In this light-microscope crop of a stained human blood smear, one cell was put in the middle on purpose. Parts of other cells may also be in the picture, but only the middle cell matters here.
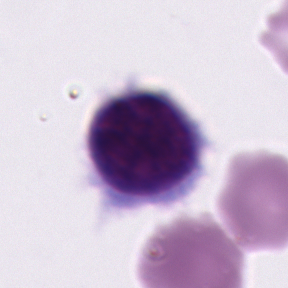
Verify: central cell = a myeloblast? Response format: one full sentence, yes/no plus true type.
No, the middle cell is classified as a hairy cell and not as a myeloblast.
